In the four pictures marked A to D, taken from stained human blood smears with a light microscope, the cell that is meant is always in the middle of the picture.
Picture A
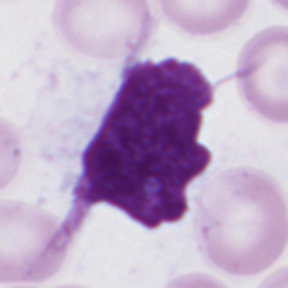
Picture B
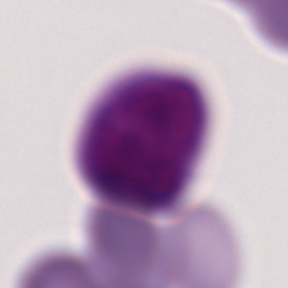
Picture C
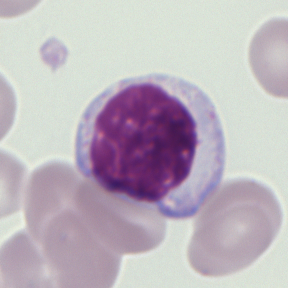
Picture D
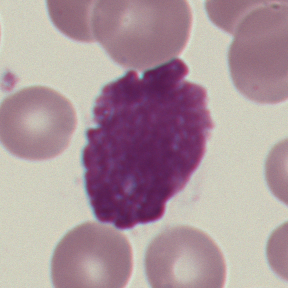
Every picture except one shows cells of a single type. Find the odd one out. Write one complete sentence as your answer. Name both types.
Picture C is the odd one out: it shows a large granular lymphocyte, while the others show smudge cells.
